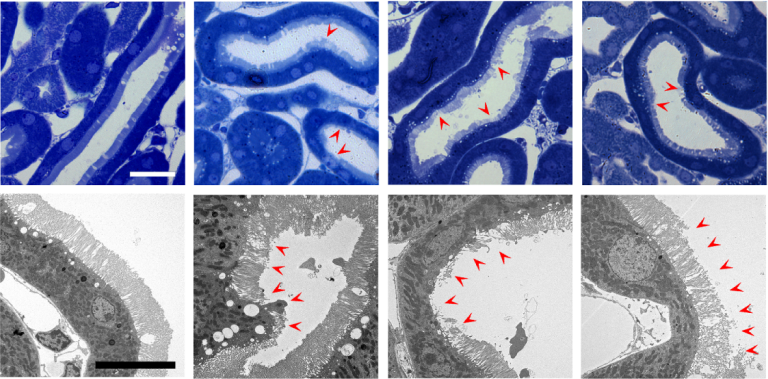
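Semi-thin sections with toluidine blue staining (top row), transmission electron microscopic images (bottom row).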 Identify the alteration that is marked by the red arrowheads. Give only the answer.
Loss of brush border microvilli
